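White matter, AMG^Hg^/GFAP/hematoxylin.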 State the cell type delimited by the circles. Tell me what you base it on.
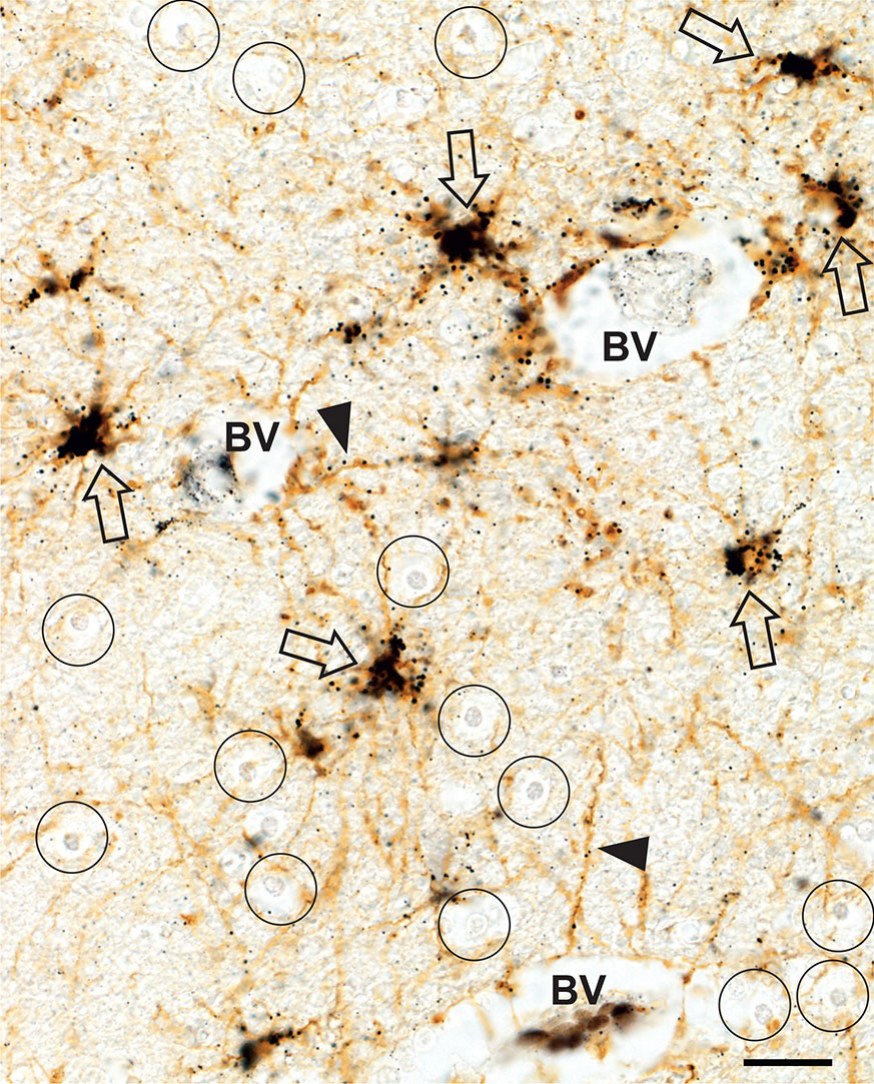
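Oligodendrocytes. Small round pale nuclei with a thin clear rim. Circled cells lack brown processes and black grains.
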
